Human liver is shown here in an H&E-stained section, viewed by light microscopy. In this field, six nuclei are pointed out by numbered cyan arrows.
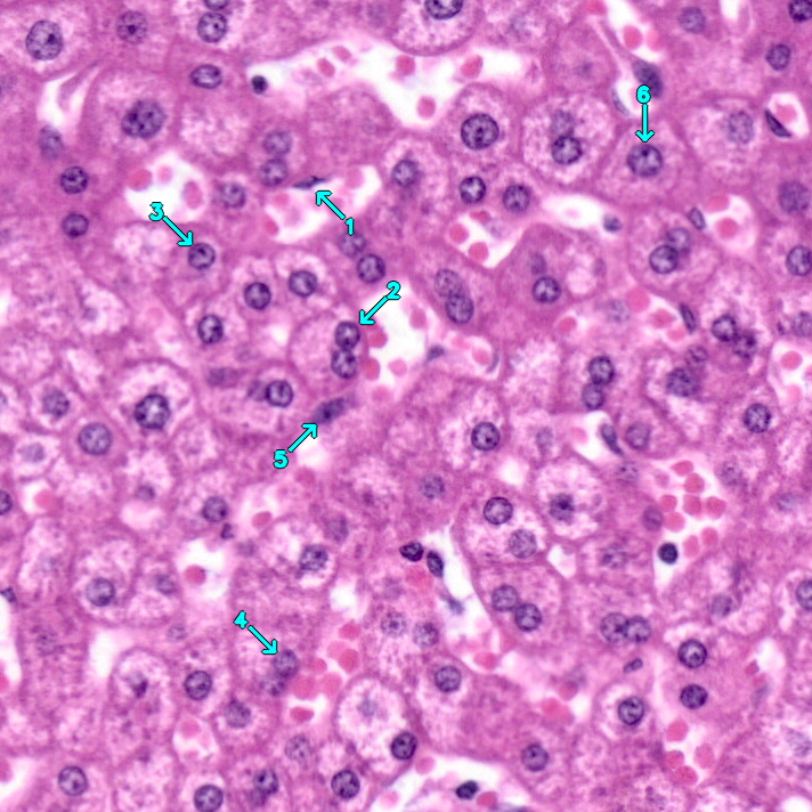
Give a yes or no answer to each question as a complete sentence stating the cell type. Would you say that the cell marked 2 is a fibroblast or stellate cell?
No, a fibroblast or stellate cell is not what cell 2 is; it is a hepatocyte.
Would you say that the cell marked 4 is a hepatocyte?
Yes, the cell labelled with number 4 is a hepatocyte.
